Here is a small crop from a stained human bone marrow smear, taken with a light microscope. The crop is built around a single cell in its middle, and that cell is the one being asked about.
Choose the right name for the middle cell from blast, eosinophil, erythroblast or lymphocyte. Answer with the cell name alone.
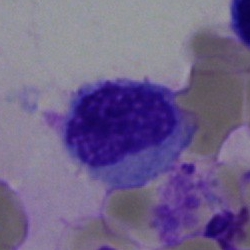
lymphocyte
